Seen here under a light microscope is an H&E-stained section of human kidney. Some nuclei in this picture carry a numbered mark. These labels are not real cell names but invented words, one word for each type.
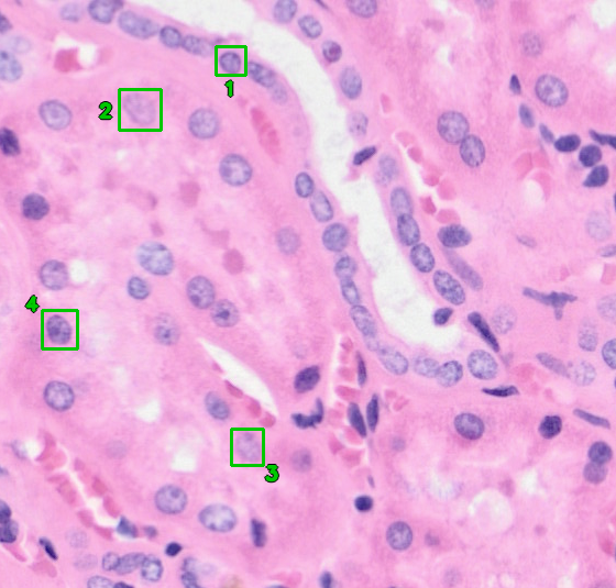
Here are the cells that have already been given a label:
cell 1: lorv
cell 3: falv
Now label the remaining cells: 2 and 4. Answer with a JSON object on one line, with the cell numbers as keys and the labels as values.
{"2": "falv", "4": "falv"}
